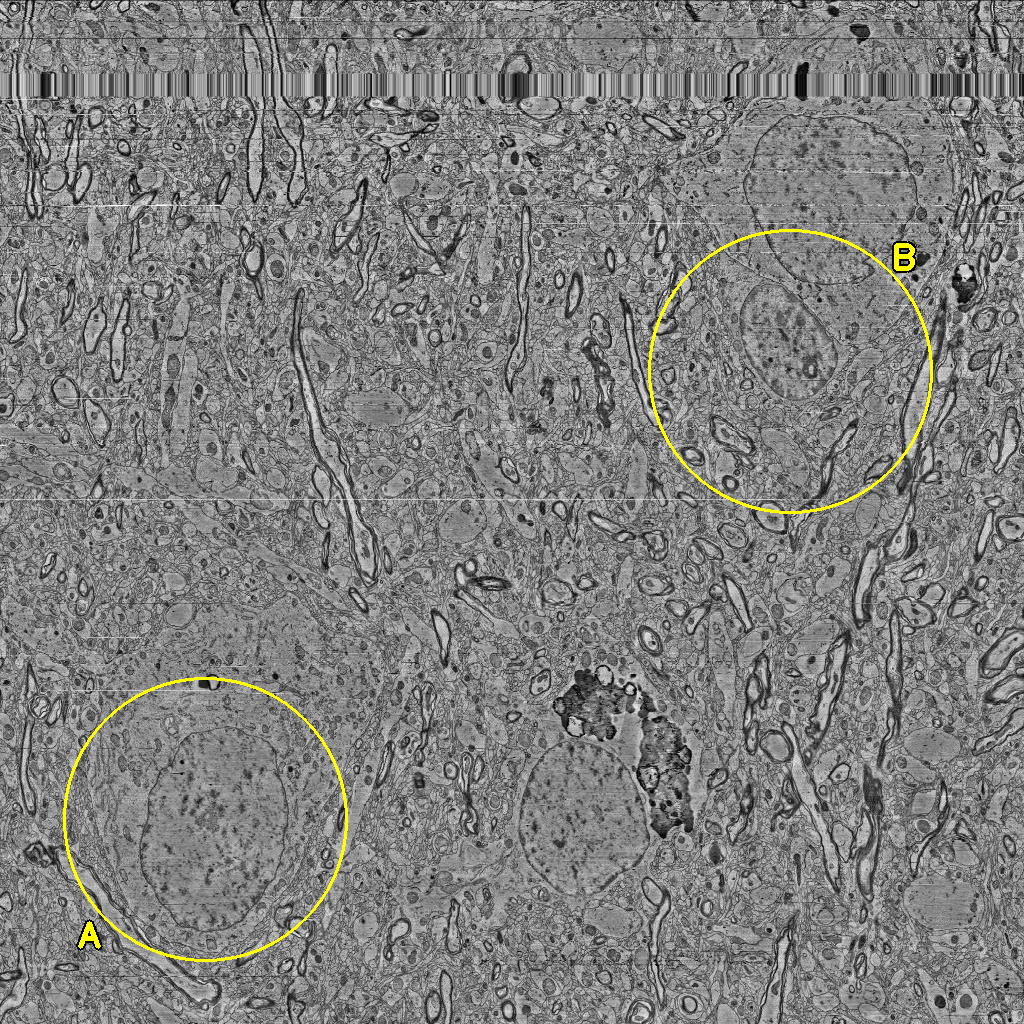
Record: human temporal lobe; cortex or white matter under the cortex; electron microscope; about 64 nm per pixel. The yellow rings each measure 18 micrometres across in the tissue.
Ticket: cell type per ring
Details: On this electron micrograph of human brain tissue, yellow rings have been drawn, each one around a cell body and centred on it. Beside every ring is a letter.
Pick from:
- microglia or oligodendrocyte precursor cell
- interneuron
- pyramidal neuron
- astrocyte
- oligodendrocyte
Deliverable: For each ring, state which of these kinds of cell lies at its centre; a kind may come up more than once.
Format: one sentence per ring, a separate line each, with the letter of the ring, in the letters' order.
The cell body ringed as A belongs to a pyramidal neuron.
The cell body ringed as B belongs to an oligodendrocyte.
